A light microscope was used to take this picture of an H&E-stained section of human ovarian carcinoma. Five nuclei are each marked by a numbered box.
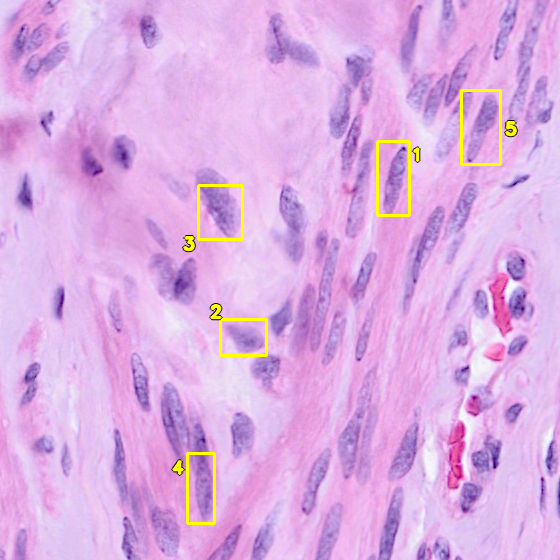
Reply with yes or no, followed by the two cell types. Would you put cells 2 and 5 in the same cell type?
No, cell 2 is a fibroblast and cell 5 is a smooth muscle cell.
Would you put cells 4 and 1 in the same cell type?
Yes, both are smooth muscle cells.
